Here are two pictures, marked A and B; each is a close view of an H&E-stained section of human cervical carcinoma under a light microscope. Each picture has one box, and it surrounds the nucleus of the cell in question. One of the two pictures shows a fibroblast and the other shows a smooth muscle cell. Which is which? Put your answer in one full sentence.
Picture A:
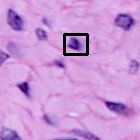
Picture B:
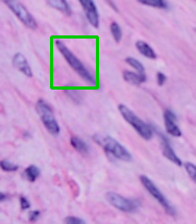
Picture B shows a smooth muscle cell, while picture A shows a fibroblast.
